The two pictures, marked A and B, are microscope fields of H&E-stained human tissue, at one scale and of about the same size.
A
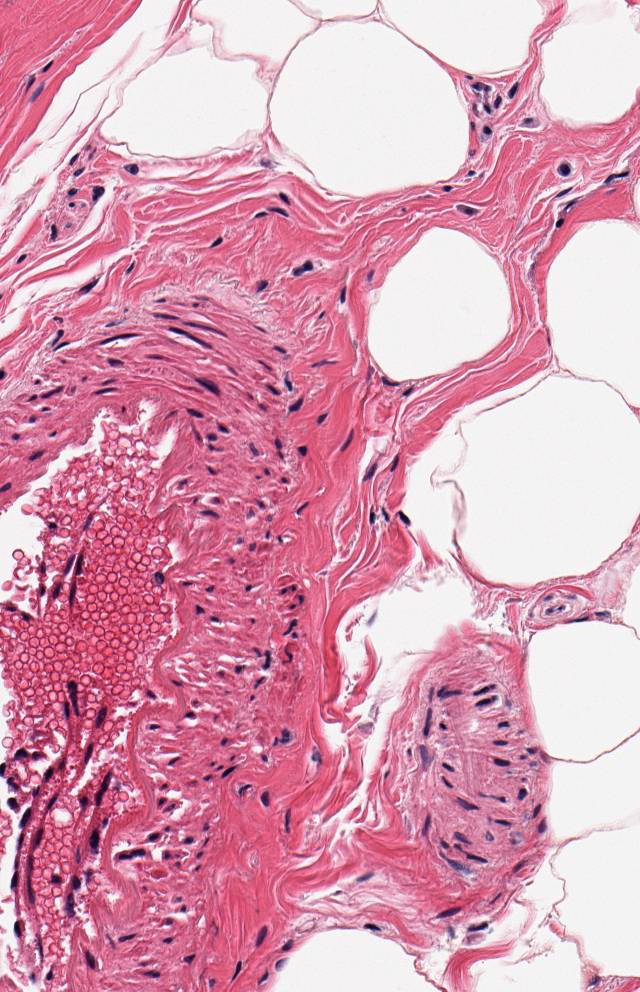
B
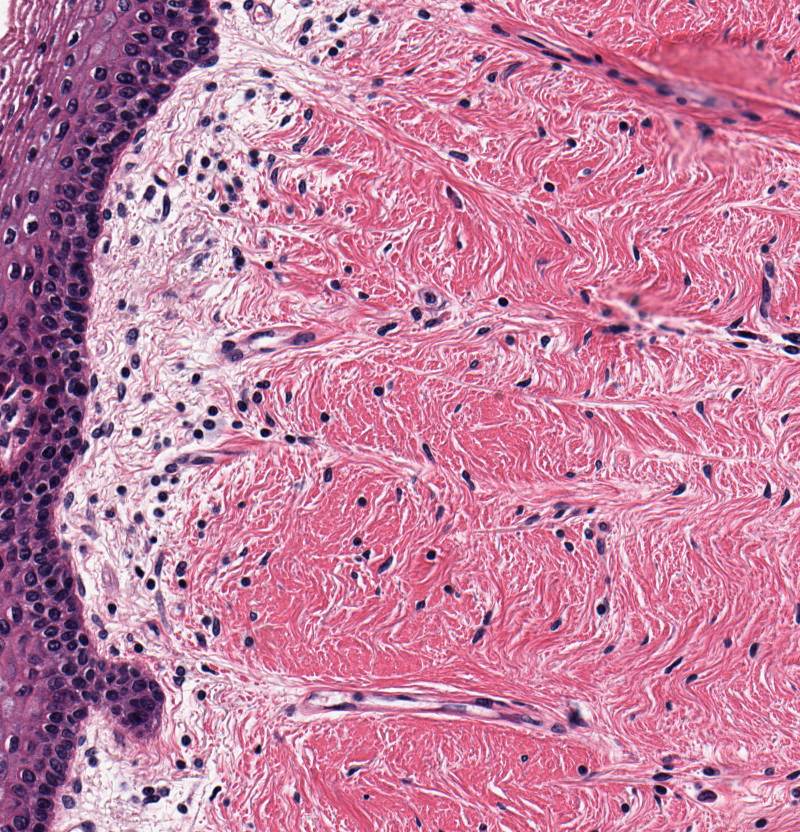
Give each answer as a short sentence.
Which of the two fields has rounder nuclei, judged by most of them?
The nuclei are rounder in field B.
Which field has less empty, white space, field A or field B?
Unstained space takes up less of field B than of field A.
